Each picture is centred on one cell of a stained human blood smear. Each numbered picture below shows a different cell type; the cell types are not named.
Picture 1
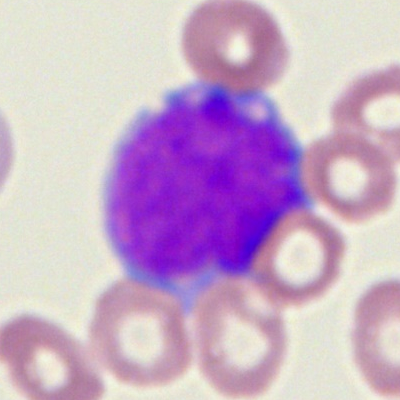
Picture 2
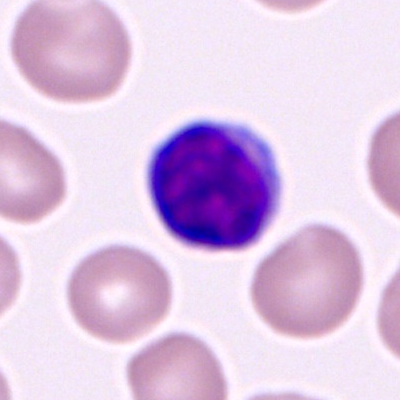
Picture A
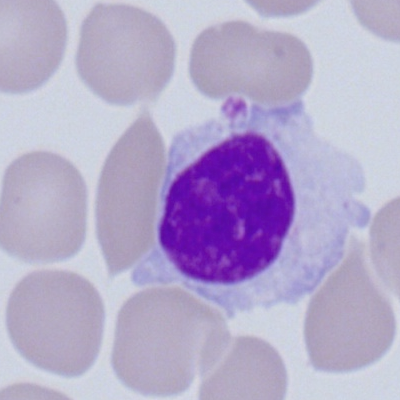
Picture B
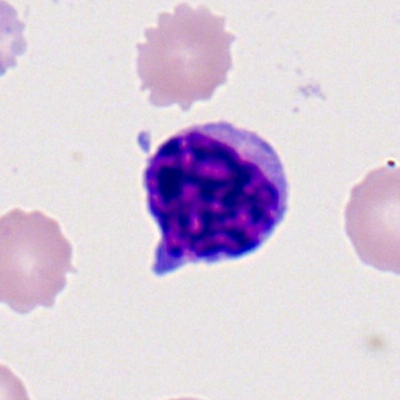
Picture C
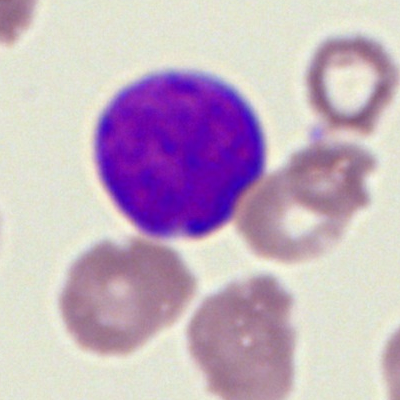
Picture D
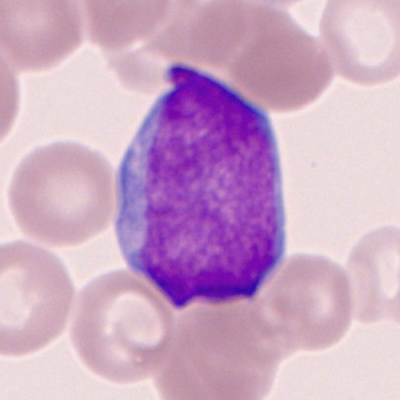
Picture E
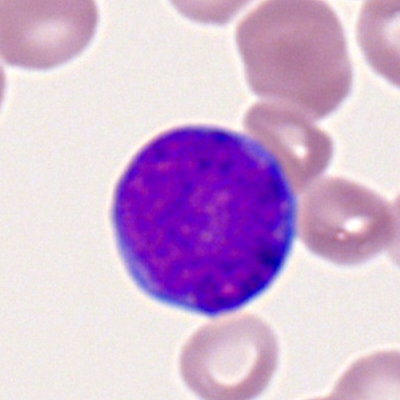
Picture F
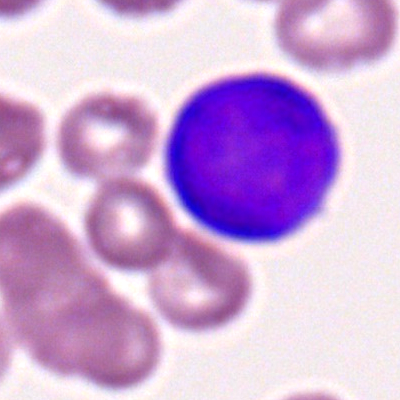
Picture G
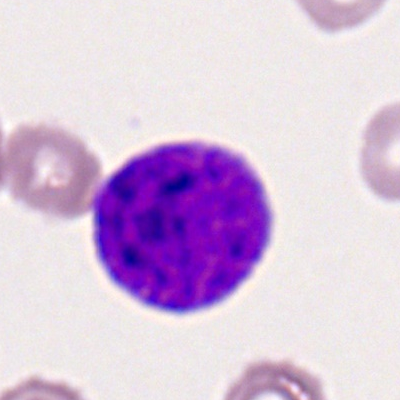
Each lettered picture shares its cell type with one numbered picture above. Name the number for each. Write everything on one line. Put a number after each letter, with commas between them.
A 2, B 2, C 1, D 1, E 1, F 1, G 1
